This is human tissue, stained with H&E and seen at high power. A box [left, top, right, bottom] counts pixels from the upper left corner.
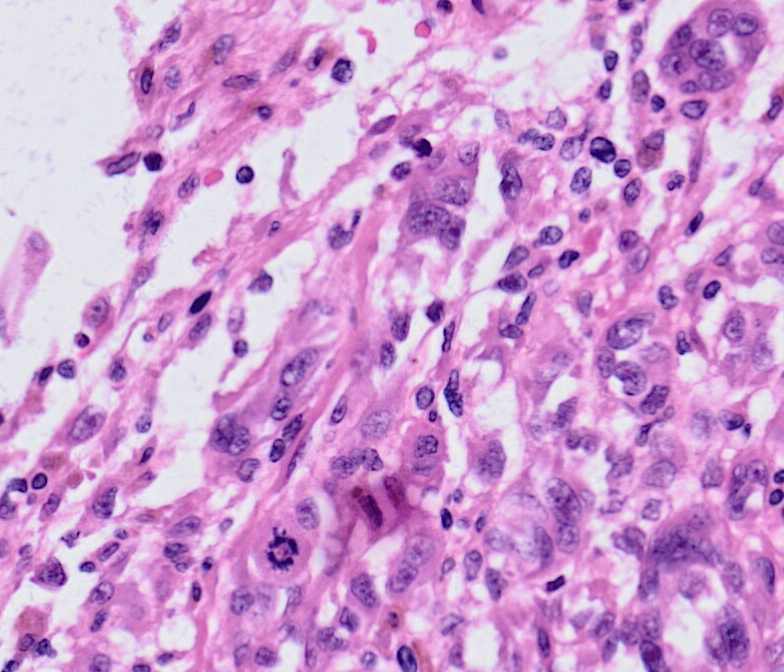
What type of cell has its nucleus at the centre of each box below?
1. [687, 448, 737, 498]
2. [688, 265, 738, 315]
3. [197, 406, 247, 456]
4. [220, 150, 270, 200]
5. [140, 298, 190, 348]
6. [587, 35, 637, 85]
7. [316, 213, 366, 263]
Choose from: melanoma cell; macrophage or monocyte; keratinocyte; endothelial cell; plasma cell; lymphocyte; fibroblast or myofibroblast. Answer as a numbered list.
1. melanoma cell
2. lymphocyte
3. melanoma cell
4. lymphocyte
5. macrophage or monocyte
6. lymphocyte
7. macrophage or monocyte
